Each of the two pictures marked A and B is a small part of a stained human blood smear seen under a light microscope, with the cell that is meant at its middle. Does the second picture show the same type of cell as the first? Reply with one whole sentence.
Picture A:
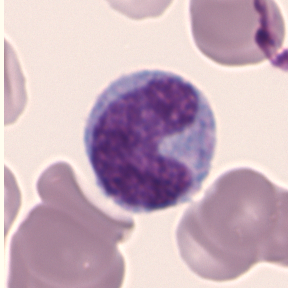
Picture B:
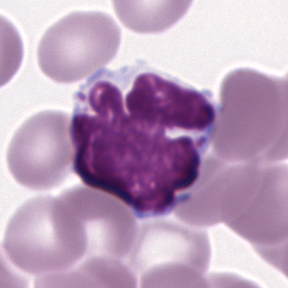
No. Picture A shows a monocyte, but picture B shows a large granular lymphocyte.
